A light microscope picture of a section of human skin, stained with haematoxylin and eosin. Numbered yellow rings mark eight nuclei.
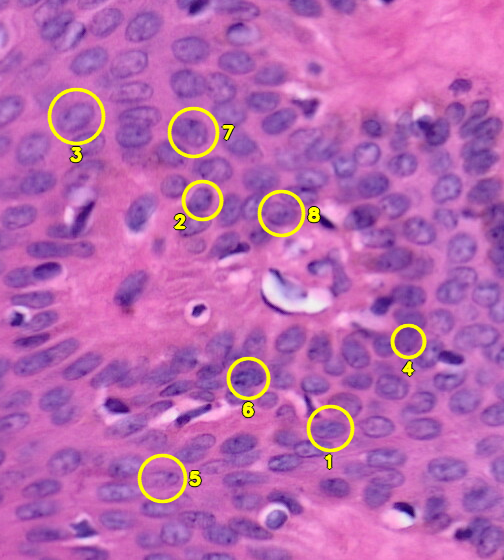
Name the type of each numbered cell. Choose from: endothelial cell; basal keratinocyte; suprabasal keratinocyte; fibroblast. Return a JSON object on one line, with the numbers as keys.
{"1": "basal keratinocyte", "2": "basal keratinocyte", "3": "suprabasal keratinocyte", "4": "basal keratinocyte", "5": "suprabasal keratinocyte", "6": "basal keratinocyte", "7": "suprabasal keratinocyte", "8": "basal keratinocyte"}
